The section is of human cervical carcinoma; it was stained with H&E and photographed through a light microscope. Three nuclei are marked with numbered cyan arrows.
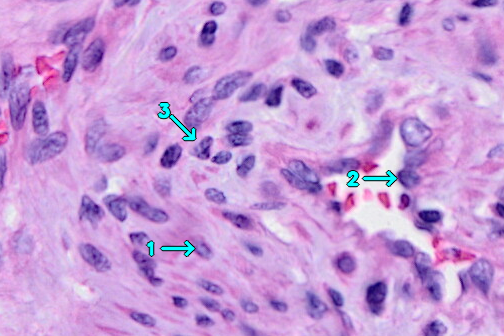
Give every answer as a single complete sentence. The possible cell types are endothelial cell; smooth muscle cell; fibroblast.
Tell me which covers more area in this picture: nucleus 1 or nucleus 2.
It is nucleus 2, which covers about 1.5 times the area of nucleus 1.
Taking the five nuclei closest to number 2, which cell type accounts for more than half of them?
The majority of the five nuclei closest to number 2 belong to endothelial cells.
